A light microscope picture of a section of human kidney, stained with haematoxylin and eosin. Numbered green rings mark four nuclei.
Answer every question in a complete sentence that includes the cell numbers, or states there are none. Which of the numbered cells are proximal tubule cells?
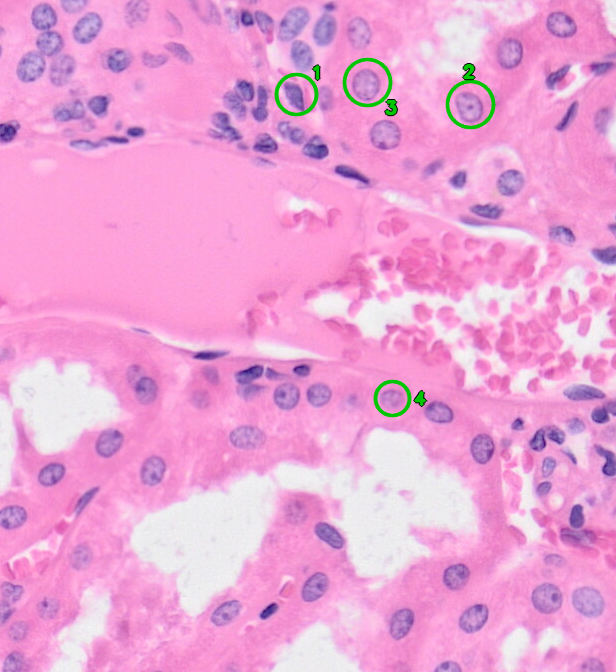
The cells bearing the numbers 2, 3 and 4 are proximal tubule cells.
